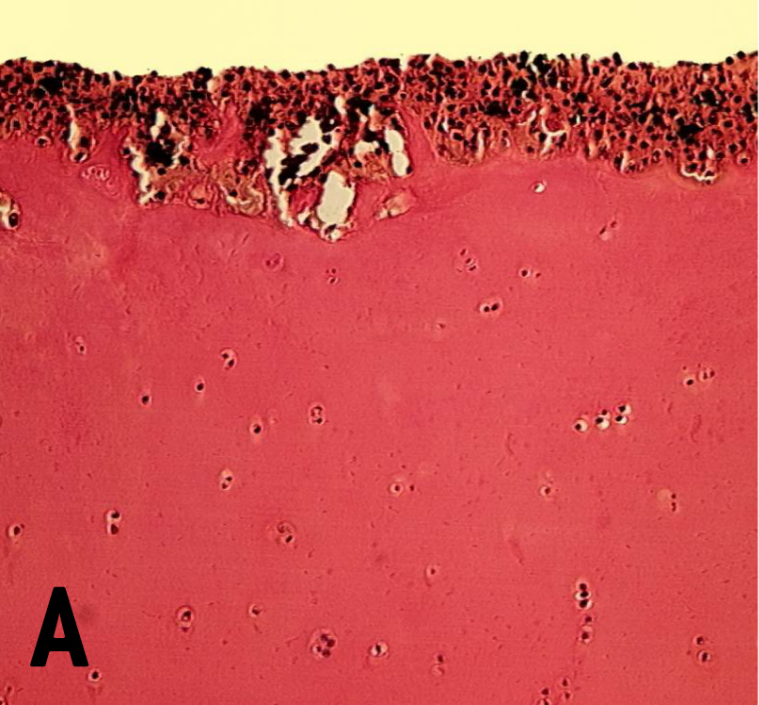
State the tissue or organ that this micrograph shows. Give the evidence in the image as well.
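A broad, homogeneous pink-red matrix fills most of the panel. Sparse single or paired cells sit in small round lacunae within the matrix.
Conclusion: cartilage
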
